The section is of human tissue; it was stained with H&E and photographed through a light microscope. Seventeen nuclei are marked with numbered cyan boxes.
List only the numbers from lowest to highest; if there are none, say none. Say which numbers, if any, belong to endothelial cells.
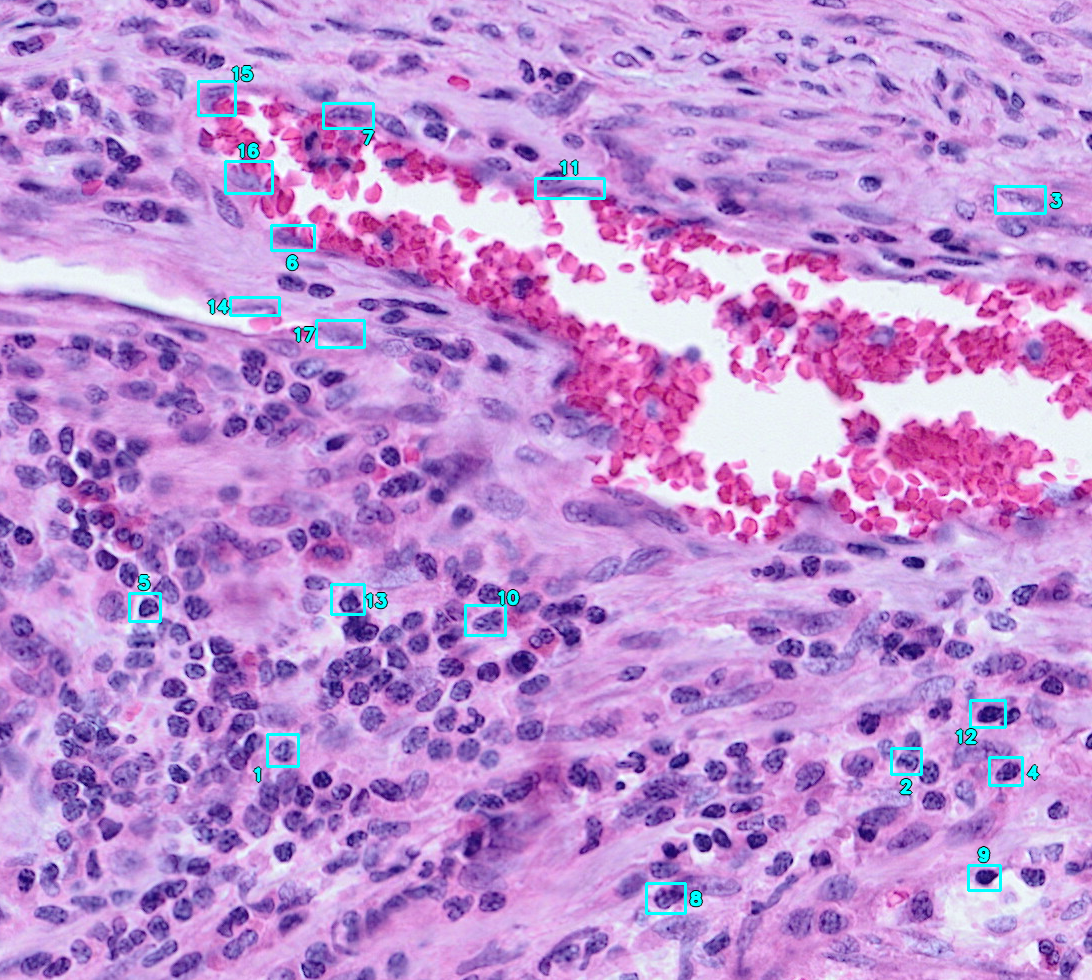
3, 6, 7, 11, 14, 15, 16, 17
